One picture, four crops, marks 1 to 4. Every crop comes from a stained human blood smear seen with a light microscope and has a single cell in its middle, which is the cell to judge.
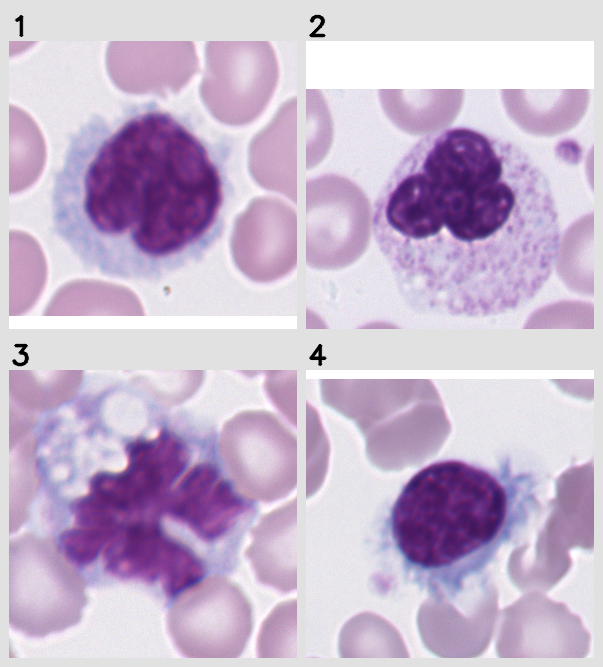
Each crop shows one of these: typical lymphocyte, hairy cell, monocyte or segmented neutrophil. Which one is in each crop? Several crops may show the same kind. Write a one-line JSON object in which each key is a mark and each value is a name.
{"1": "hairy cell", "2": "segmented neutrophil", "3": "monocyte", "4": "hairy cell"}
